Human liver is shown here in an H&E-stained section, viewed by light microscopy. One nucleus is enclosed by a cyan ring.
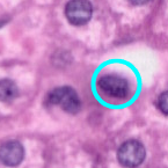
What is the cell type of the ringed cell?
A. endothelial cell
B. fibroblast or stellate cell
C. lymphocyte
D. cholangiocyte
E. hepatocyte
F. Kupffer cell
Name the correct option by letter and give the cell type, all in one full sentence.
Hey, it is option F: the ringed cell is a Kupffer cell.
